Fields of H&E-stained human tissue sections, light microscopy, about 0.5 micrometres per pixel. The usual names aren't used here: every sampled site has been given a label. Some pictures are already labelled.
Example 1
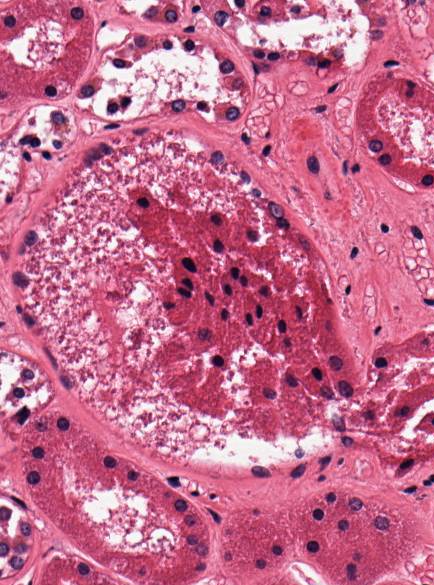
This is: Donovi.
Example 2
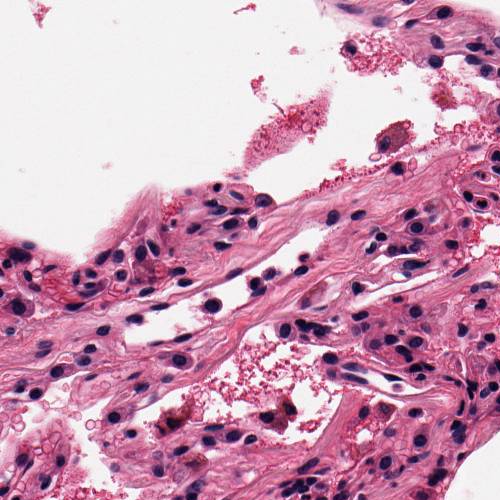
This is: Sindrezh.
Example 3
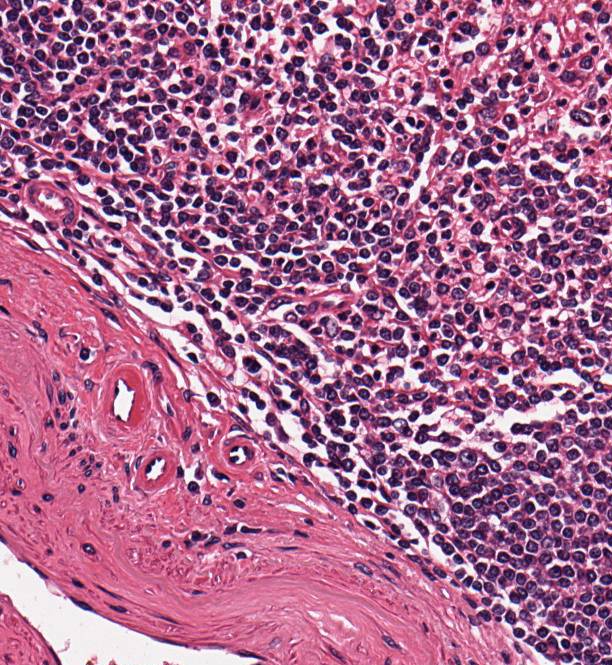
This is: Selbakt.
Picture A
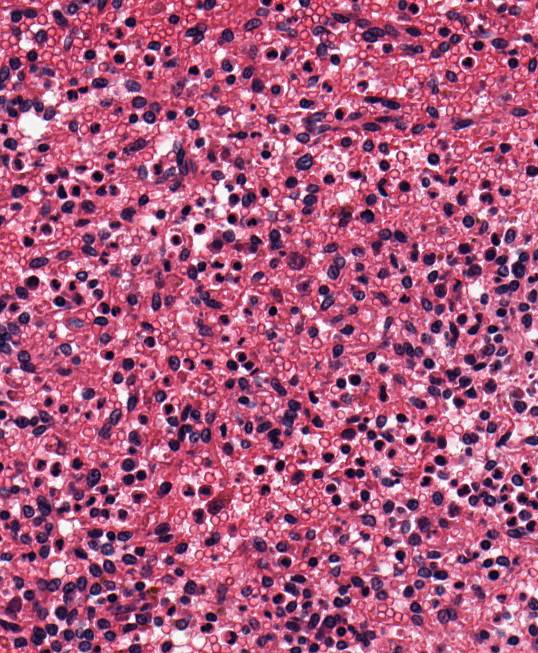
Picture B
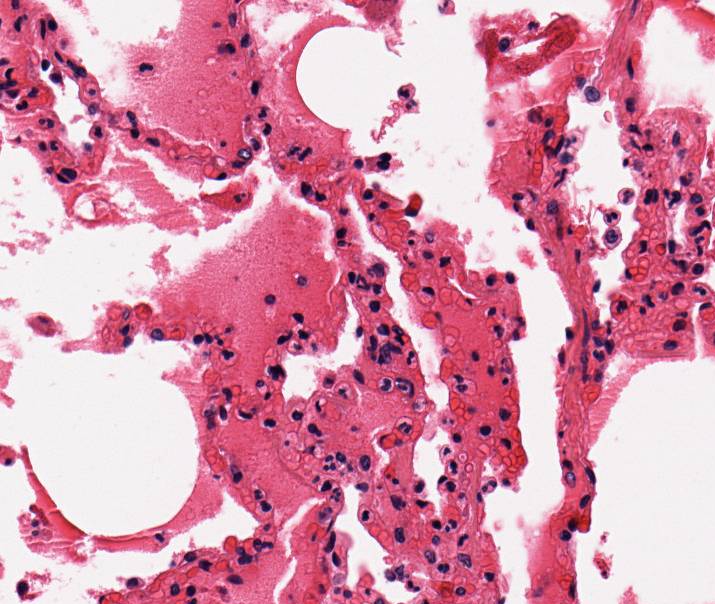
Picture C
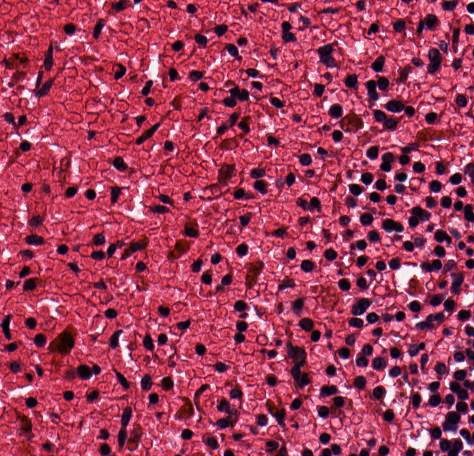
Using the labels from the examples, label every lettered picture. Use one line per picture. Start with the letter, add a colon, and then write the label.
A: Selbakt.
B: Sindrezh.
C: Selbakt.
